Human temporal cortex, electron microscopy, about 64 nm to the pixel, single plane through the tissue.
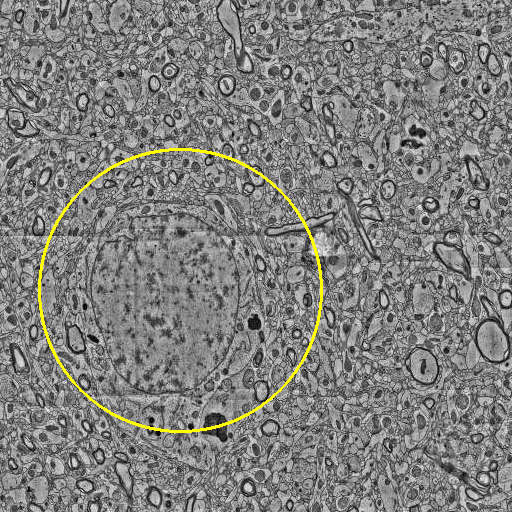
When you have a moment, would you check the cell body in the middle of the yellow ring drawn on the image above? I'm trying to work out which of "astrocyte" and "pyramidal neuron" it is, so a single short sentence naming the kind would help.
This cell body belongs to a pyramidal neuron.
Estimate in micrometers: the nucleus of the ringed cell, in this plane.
About 12 by 10 micrometers for the nucleus, in this plane.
